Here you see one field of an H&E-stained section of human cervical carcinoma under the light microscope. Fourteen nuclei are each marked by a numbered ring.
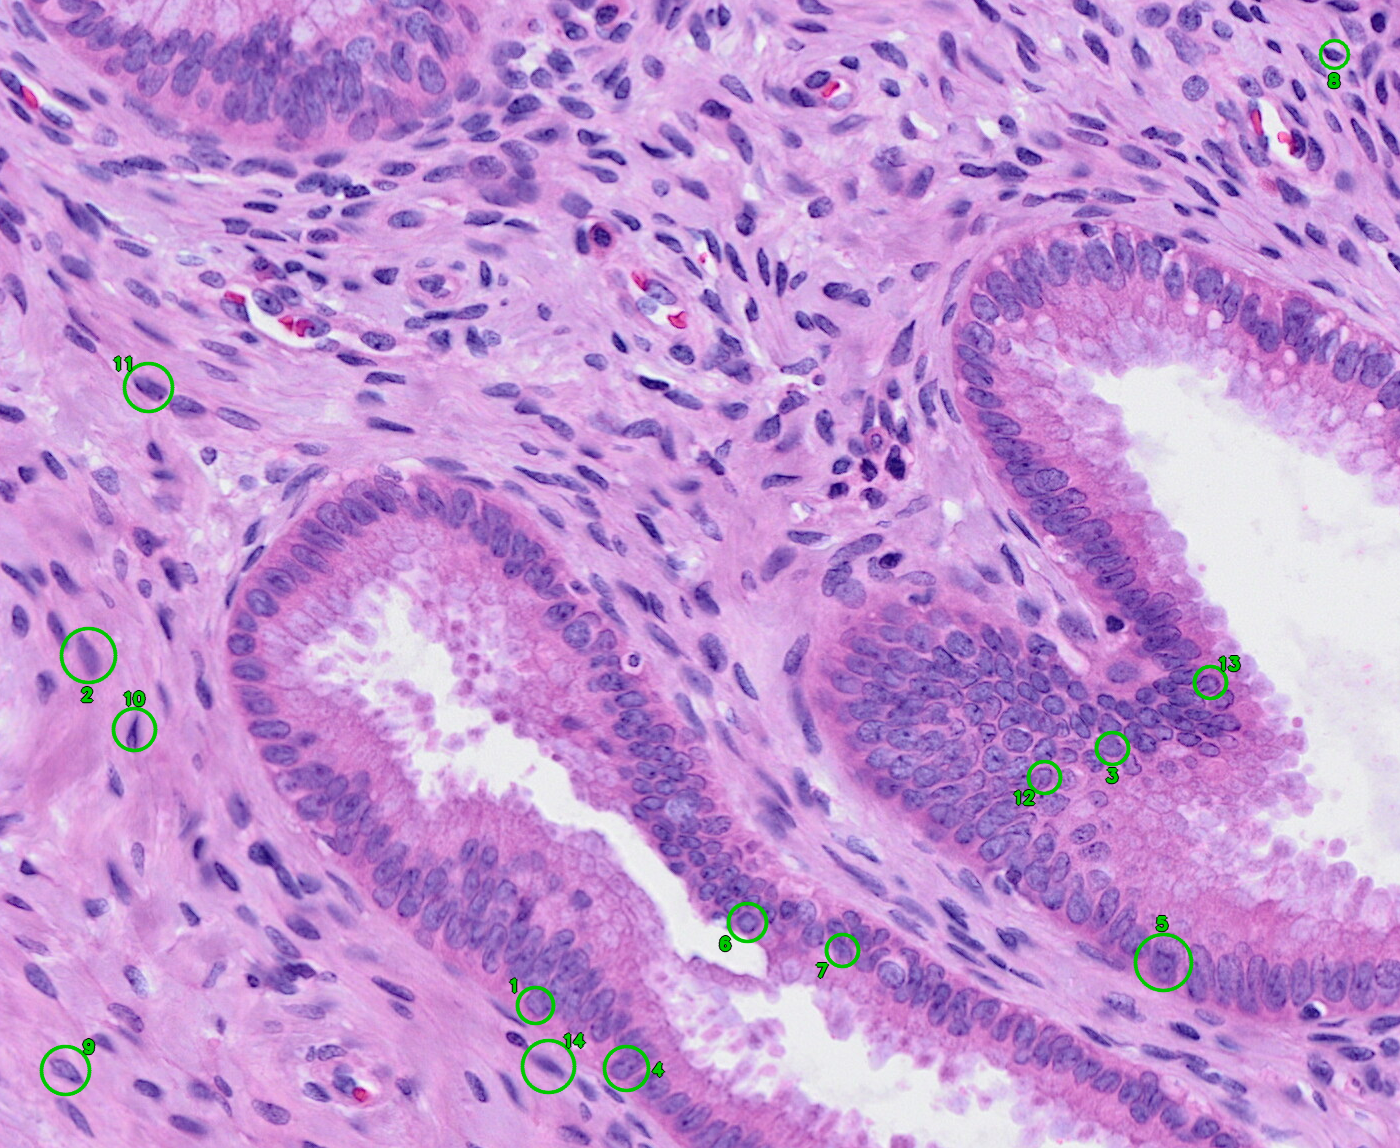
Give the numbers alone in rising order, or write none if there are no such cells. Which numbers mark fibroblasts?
2, 8, 9, 10, 11, 14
